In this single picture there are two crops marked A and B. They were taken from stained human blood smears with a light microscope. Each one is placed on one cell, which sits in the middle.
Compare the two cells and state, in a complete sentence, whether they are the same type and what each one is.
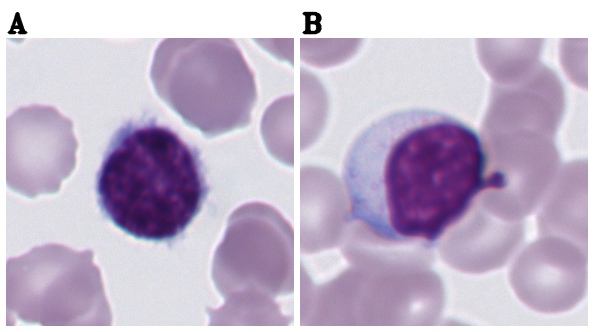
No, crop A displays a hairy cell and crop B displays a large granular lymphocyte.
